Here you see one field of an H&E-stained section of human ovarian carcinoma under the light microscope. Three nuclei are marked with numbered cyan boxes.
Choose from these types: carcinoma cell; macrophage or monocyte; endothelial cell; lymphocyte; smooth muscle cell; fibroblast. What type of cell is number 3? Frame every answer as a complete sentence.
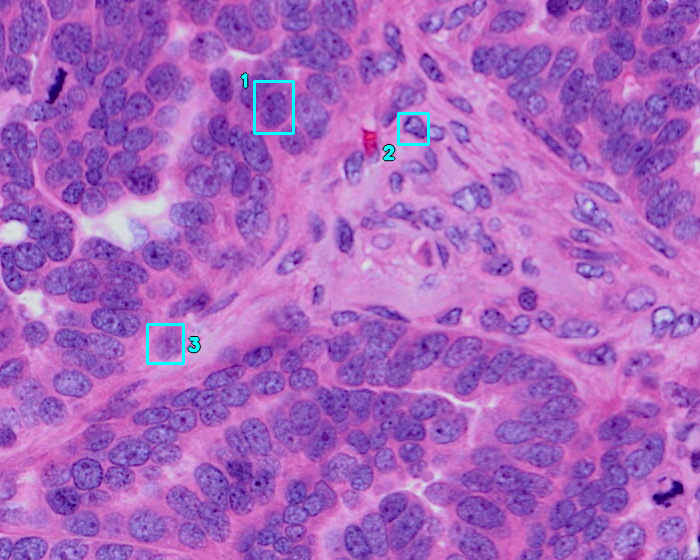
In this section, number 3 marks a fibroblast.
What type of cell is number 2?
Cell 2 is classified as an endothelial cell.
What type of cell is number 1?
Classified as a carcinoma cell is the cell with the number 1.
